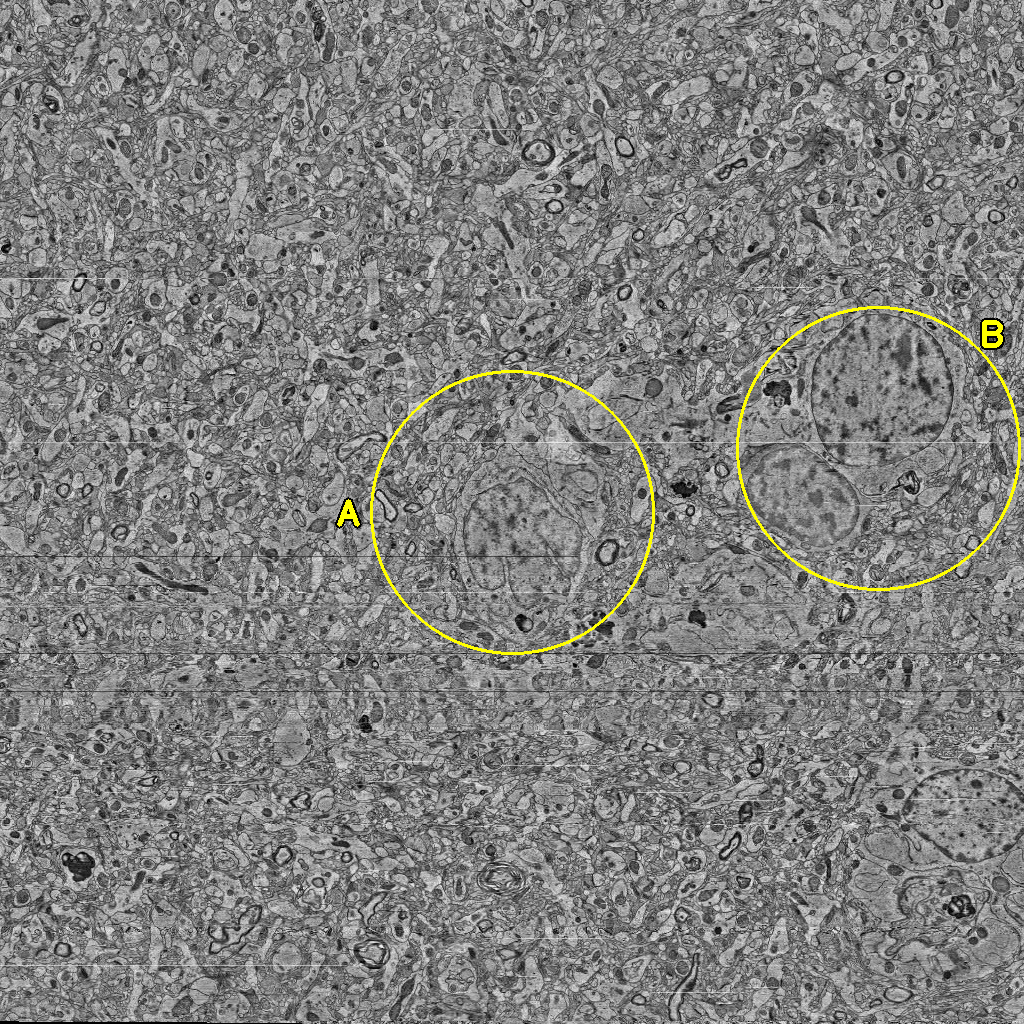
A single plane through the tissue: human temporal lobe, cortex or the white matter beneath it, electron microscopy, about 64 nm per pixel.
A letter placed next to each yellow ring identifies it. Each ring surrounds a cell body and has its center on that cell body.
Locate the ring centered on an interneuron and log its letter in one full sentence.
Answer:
Ring A has at its center the cell that the task asks for.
